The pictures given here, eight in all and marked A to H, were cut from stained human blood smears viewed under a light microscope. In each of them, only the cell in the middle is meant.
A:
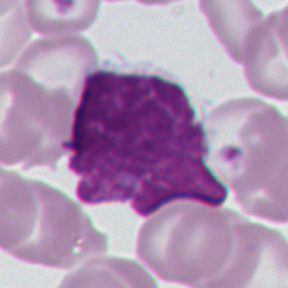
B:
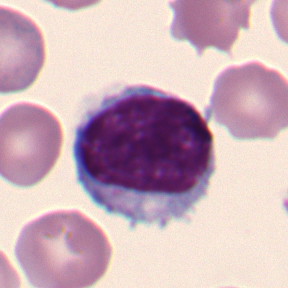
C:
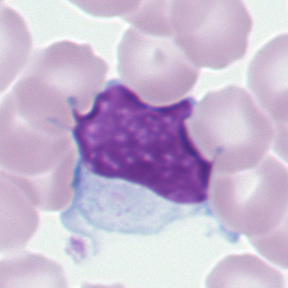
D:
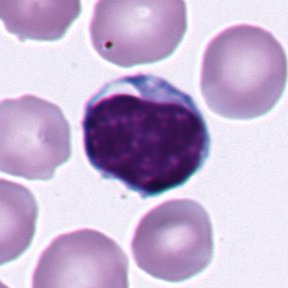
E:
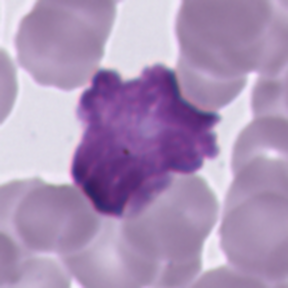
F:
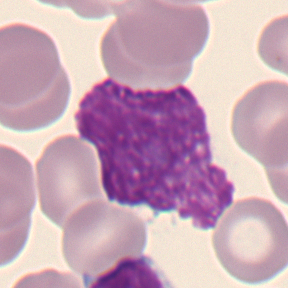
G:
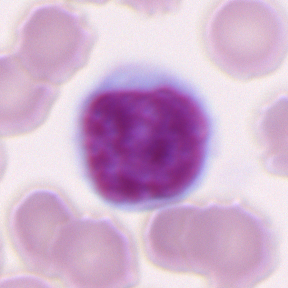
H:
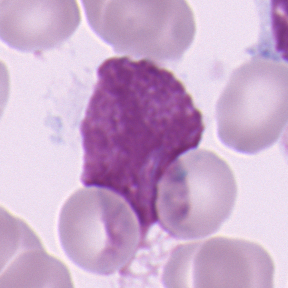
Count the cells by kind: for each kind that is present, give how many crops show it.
smudge cell: 4
typical lymphocyte: 4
